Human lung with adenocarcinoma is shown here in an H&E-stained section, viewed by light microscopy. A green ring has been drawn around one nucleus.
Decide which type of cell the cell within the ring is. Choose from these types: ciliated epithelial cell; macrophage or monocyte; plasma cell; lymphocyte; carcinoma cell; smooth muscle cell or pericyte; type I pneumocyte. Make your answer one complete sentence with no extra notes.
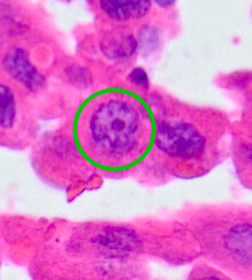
In the context of this tissue, the cell within the ring is a carcinoma cell.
